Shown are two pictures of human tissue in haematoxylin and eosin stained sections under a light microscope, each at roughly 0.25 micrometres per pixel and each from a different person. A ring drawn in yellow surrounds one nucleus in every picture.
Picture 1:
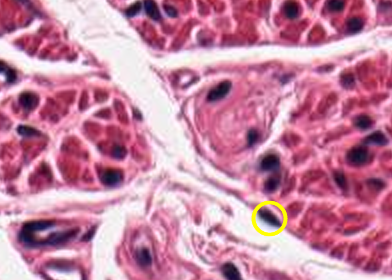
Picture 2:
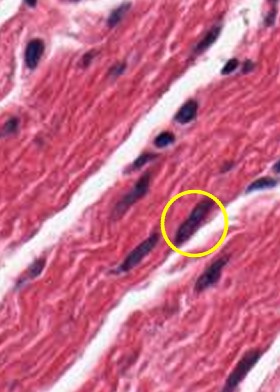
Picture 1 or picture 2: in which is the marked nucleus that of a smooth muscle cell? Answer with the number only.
2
